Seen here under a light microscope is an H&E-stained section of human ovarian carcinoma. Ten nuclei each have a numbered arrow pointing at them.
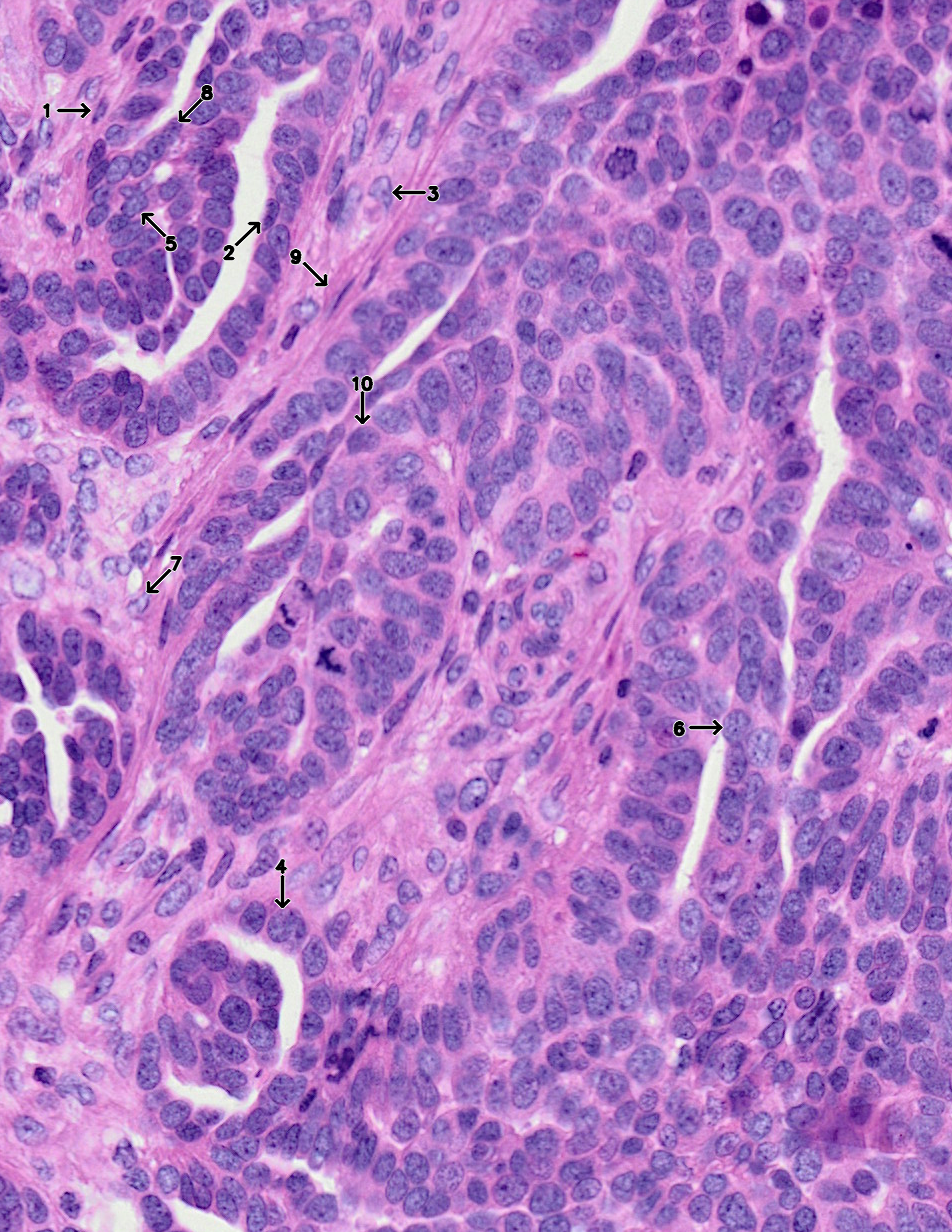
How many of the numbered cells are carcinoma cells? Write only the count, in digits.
6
